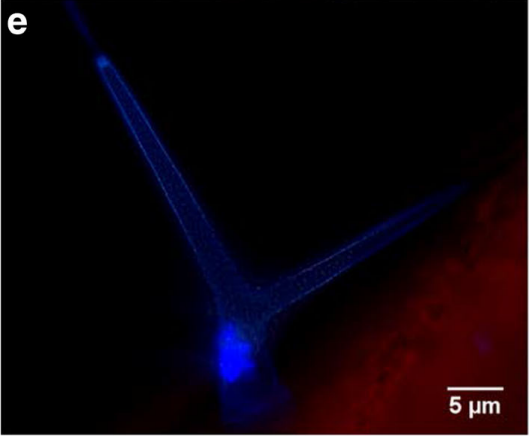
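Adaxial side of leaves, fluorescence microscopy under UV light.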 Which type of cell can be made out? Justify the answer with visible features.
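A single large cell rises from the leaf surface and splits into long tapering arms. The arms have a finely textured, dotted wall. A bright blue spot sits at the base where the arms meet. So: trichomes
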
